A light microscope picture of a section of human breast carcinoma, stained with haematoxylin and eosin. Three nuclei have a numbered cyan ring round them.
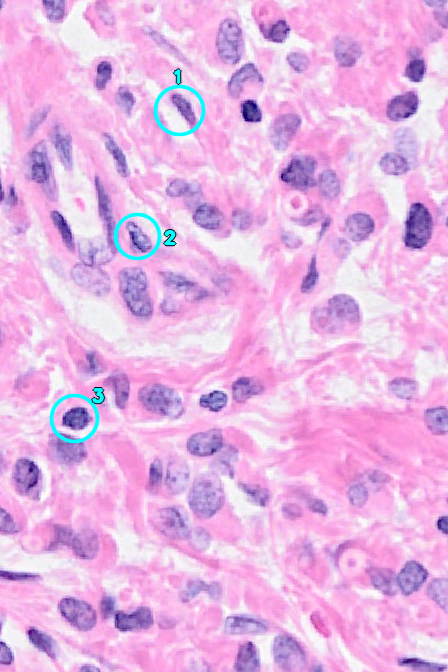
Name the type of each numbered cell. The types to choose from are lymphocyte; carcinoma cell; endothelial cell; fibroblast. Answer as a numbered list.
1. fibroblast
2. endothelial cell
3. lymphocyte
